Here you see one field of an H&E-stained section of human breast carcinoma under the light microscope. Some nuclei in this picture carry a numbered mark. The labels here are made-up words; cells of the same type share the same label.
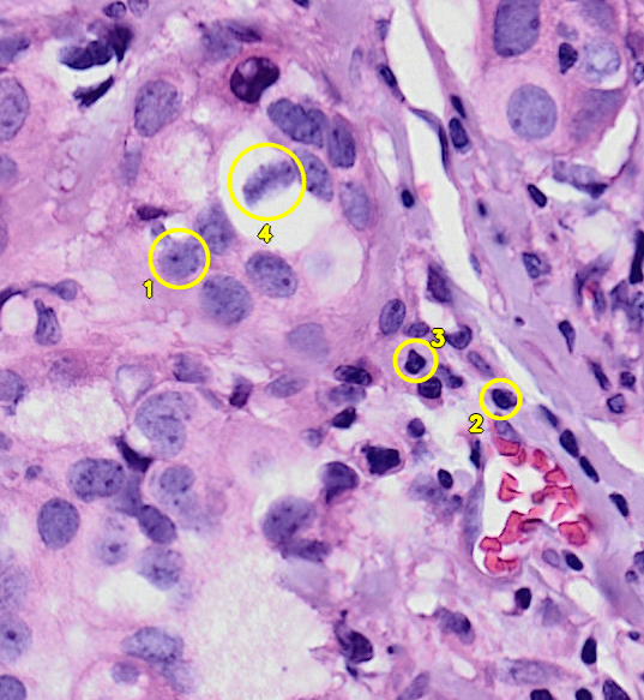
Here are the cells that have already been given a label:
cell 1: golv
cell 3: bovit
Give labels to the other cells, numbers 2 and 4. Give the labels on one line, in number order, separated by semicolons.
bovit; golv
